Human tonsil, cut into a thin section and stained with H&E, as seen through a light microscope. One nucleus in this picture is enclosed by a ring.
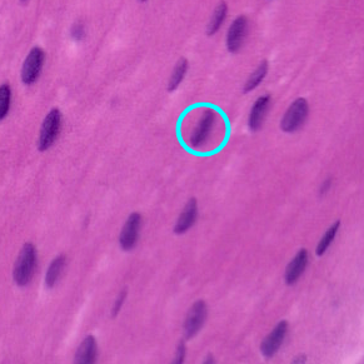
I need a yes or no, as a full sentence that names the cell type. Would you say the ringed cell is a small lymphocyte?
No, the ringed cell is regarded as a squamous epithelial cell rather than a small lymphocyte.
